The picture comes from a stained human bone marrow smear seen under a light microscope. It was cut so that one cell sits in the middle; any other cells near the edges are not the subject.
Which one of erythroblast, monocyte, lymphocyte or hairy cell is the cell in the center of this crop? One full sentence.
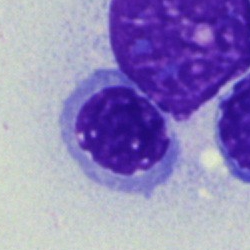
The cell at the middle of the crop is recognized as an erythroblast.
